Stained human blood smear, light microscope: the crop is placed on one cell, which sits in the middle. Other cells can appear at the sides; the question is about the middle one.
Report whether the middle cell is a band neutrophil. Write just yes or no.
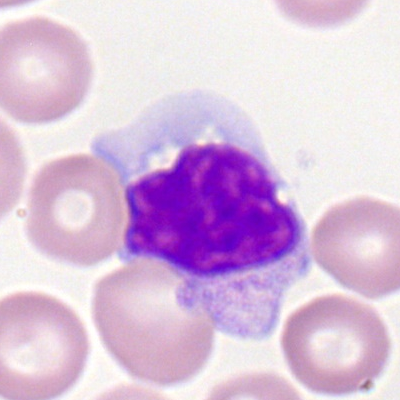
no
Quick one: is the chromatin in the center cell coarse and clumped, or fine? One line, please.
If you check the nucleus, you will find the chromatin coarsely clumped.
